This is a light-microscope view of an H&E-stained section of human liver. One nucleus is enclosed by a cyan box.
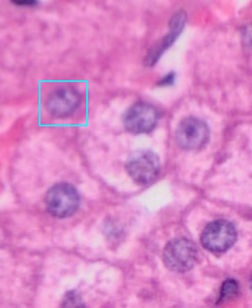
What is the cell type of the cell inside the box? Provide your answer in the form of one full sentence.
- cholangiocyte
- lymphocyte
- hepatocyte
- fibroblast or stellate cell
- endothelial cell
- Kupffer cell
In cell-type terms, the cell inside the box is a hepatocyte.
